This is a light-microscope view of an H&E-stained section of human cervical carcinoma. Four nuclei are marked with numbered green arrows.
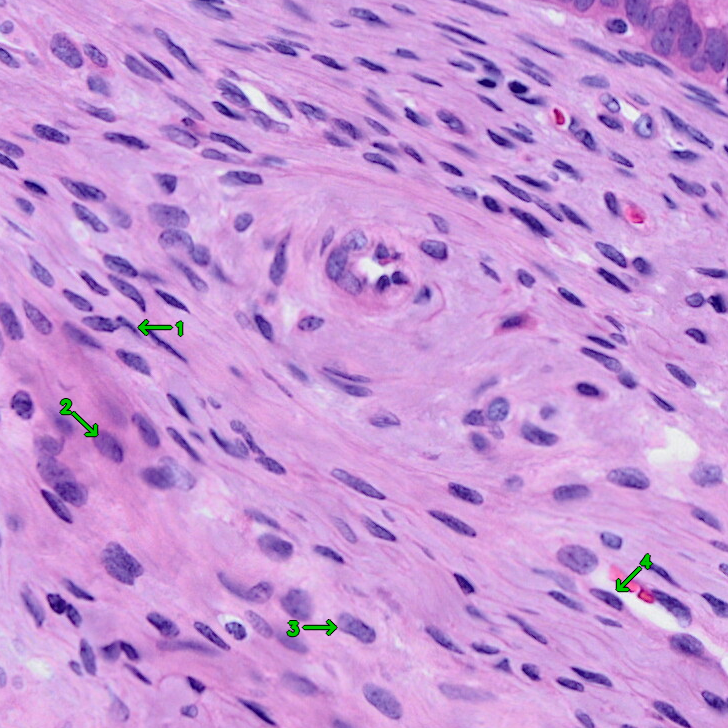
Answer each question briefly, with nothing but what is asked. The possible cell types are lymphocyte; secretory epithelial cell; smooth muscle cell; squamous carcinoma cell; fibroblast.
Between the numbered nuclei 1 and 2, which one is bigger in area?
2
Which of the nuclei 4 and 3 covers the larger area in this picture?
3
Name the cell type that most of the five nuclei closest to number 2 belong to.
fibroblast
